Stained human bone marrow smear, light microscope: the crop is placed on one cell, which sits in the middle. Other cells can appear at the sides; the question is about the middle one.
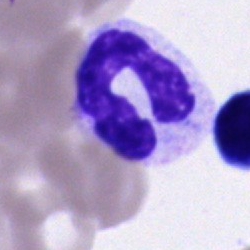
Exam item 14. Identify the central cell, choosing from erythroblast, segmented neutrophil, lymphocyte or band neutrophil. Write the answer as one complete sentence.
For this crop, the central cell is a band neutrophil.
